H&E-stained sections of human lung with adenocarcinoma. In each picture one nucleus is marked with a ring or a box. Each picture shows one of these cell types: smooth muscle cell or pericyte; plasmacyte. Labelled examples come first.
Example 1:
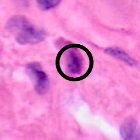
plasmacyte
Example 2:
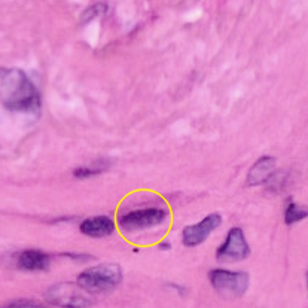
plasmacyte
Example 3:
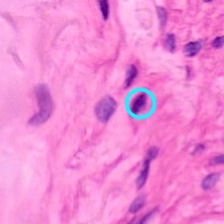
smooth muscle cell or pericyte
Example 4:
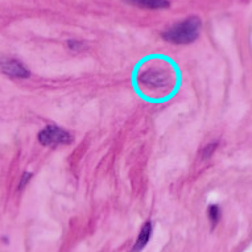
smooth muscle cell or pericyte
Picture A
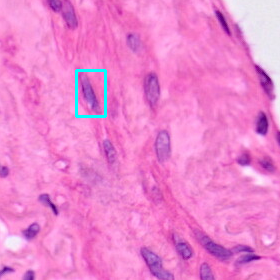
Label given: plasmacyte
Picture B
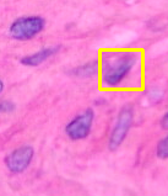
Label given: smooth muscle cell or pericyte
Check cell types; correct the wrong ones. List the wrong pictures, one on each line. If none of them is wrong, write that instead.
A: not plasmacyte but smooth muscle cell or pericyte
